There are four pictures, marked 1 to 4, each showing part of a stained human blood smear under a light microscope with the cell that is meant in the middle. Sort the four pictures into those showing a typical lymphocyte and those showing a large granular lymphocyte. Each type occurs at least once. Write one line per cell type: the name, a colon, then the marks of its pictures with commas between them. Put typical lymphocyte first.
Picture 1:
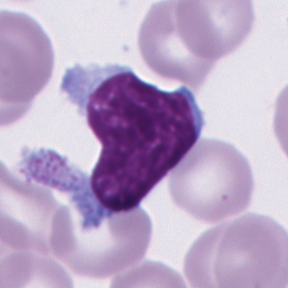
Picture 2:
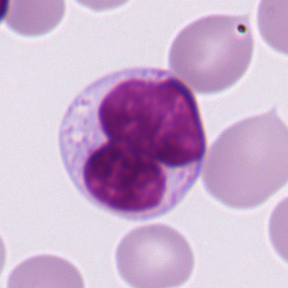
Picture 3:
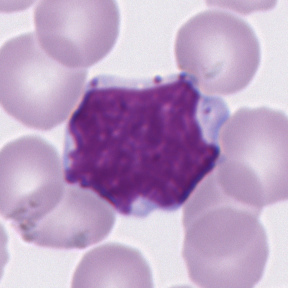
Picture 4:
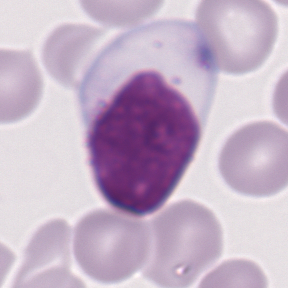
typical lymphocyte: 1
large granular lymphocyte: 2, 3, 4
